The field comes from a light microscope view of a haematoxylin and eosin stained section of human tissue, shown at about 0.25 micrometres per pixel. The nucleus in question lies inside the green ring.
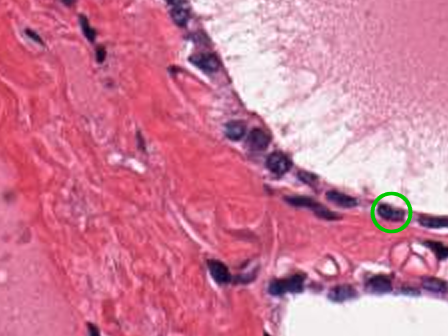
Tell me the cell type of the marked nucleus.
thyroid follicular cell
